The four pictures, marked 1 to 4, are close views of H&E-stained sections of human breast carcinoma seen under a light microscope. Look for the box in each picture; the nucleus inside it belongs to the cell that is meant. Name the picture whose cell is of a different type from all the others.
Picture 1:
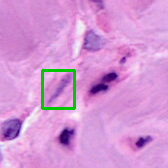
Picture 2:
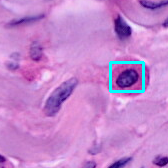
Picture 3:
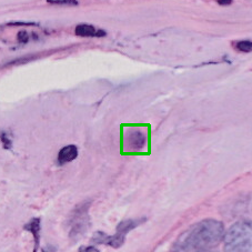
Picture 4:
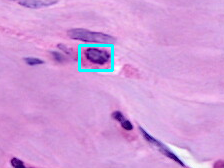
1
